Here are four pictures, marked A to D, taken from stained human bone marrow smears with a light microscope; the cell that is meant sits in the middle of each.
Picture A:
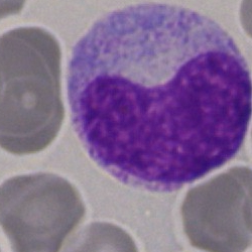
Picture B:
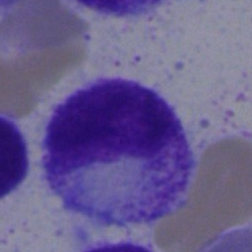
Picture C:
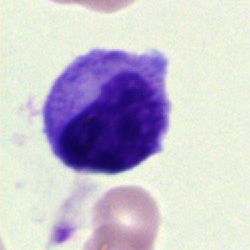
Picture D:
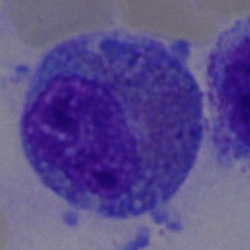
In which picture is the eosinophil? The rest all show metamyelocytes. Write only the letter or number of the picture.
D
